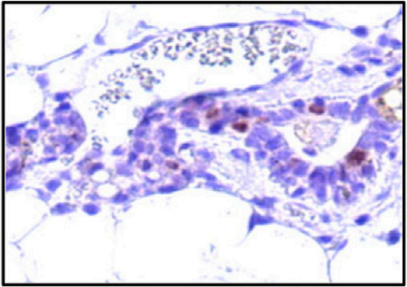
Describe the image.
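This section of mammary gland shows clusters of mammary epithelial cells forming ducts set within fat tissue. The epithelial cells are crowded in several layers, with round to oval nuclei counterstained blue. A number of these nuclei are stained dark brown, scattered among the blue ones within the epithelium. Around the epithelium lie large, empty-looking fat cells with thin walls, and a small vessel containing red blood cells is seen at the top.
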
